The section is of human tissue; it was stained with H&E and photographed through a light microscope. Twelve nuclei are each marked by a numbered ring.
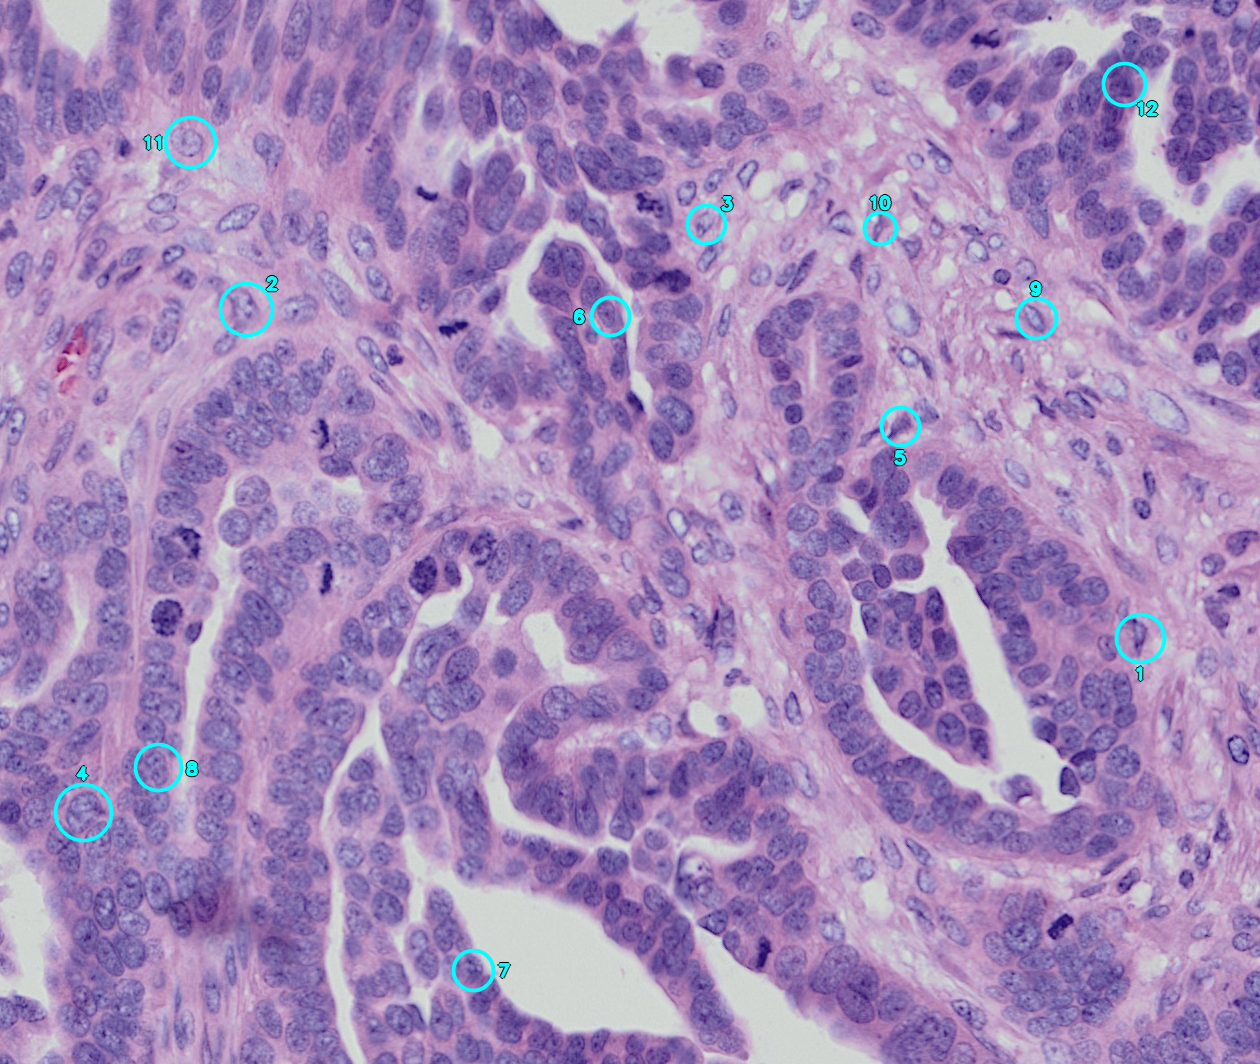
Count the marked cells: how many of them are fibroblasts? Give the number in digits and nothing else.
7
